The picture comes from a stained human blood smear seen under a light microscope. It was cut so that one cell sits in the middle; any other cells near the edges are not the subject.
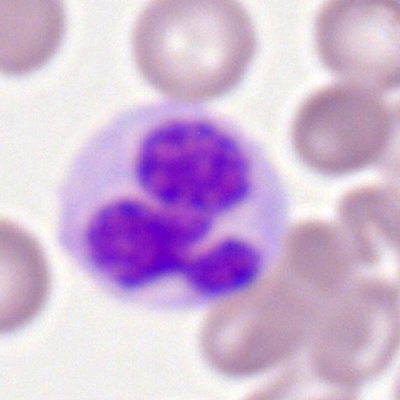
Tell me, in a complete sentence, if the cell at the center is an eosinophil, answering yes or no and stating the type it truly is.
No, the cell at the center of this crop is a monocyte instead of an eosinophil.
